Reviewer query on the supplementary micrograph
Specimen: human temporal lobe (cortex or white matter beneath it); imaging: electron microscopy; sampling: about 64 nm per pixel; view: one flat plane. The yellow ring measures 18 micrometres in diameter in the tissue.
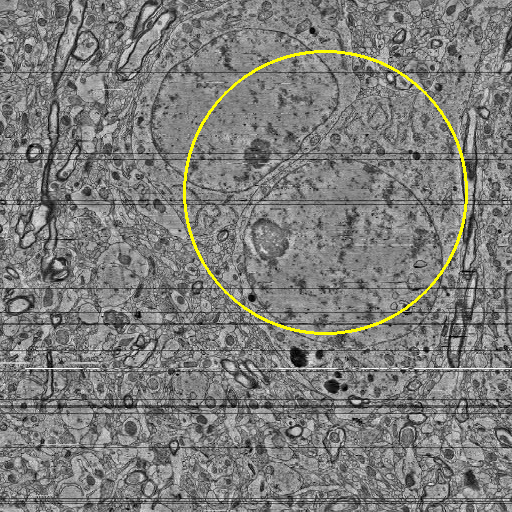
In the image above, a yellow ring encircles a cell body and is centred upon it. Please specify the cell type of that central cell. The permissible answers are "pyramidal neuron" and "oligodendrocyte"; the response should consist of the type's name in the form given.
pyramidal neuron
